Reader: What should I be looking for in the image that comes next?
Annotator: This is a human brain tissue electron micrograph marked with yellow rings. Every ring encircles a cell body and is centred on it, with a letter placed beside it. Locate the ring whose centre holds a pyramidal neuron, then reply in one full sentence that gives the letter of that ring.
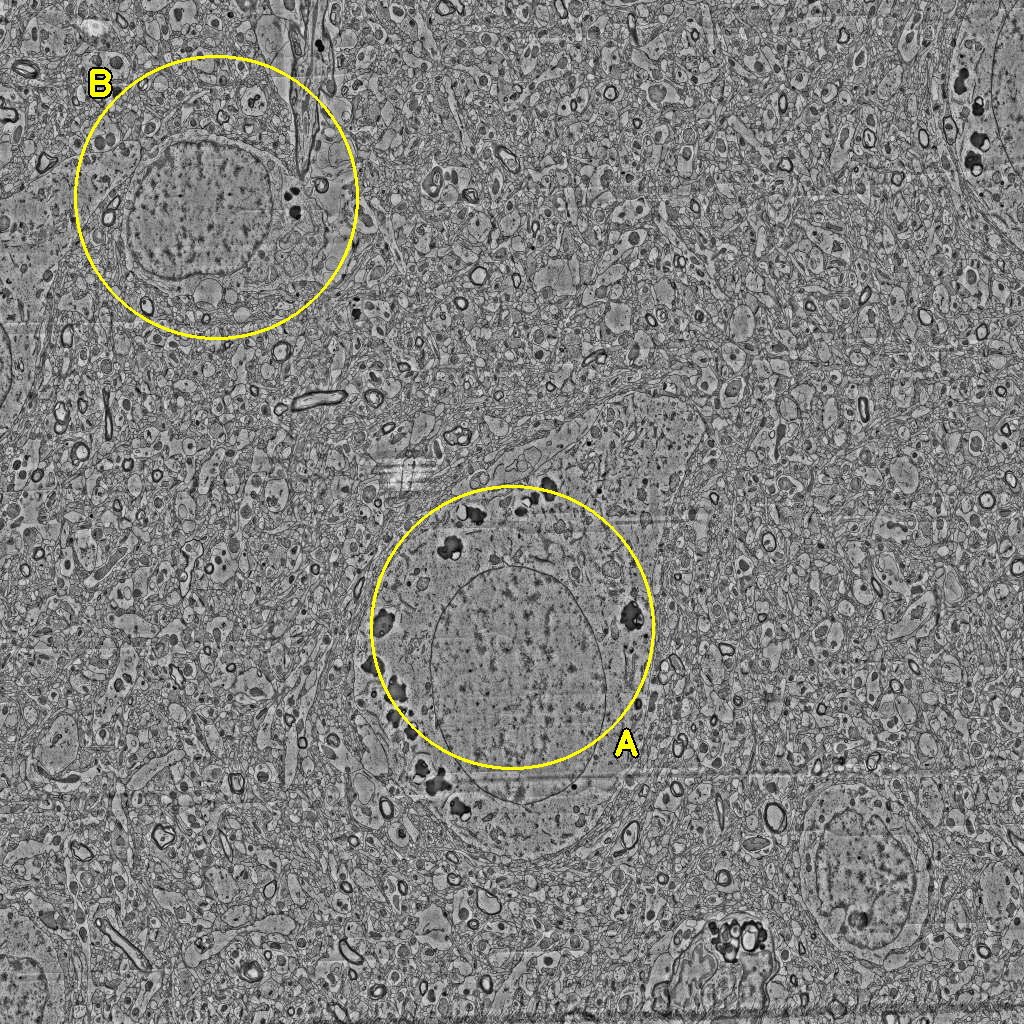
The ring centred on the cell asked for is the one labelled A.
